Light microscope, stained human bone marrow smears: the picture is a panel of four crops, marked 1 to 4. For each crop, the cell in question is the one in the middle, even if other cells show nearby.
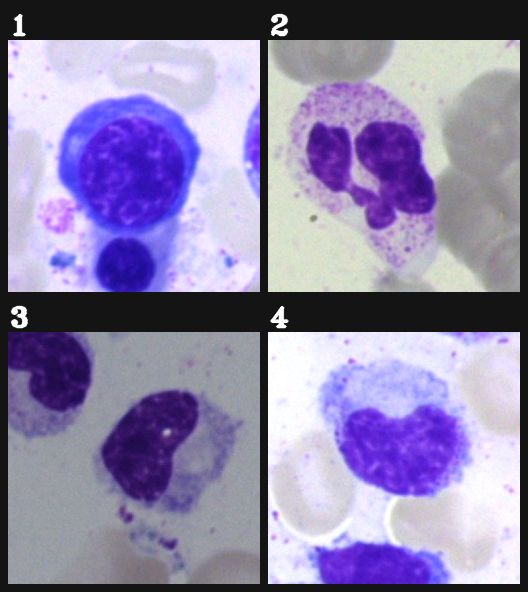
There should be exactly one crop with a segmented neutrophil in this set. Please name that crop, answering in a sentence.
On review of the set, crop 2 is the one showing a segmented neutrophil.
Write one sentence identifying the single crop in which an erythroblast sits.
The crop marked 1 is the one in which an erythroblast is shown.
